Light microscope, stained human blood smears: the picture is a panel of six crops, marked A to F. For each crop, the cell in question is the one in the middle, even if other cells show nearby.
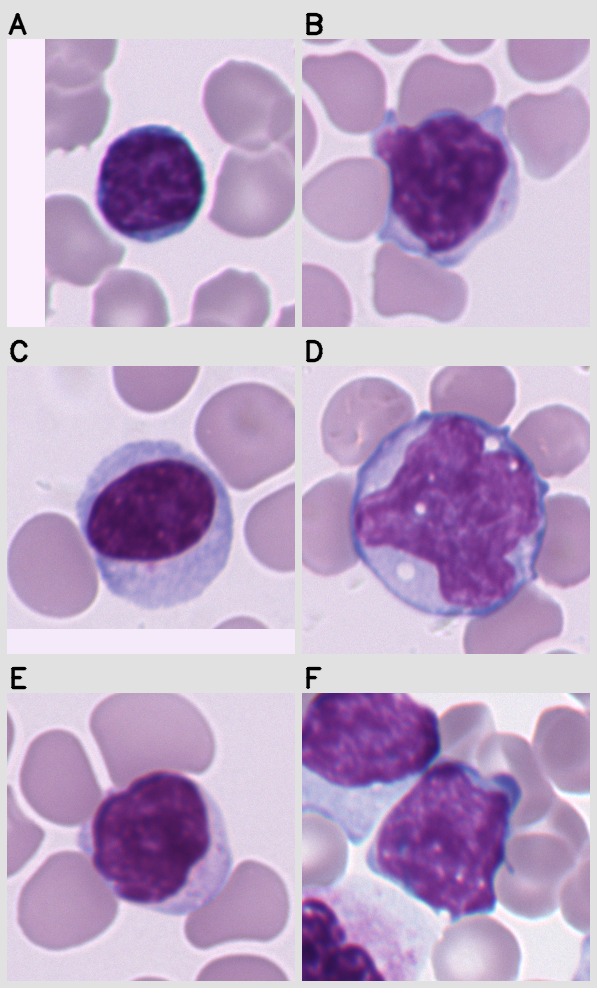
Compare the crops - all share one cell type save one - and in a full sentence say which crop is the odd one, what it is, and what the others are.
All the crops show typical lymphocytes, barring crop D, which is a myeloblast.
